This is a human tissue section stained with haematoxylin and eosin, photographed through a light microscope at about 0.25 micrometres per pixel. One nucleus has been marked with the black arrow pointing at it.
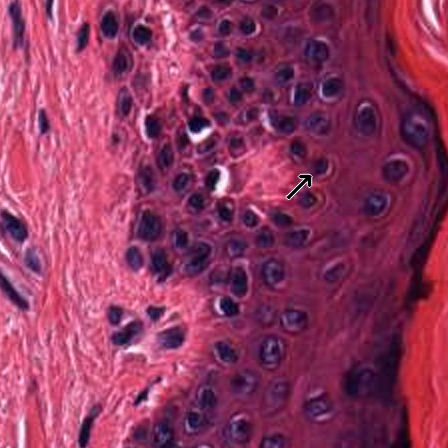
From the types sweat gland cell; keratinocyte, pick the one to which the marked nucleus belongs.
keratinocyte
